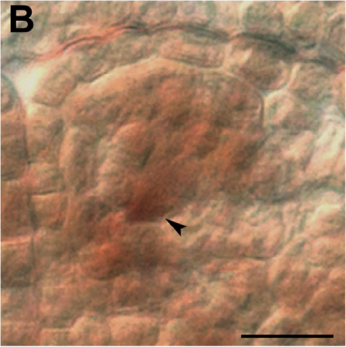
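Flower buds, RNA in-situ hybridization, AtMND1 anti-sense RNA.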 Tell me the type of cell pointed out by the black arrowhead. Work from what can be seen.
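The arrowhead points to a small darker-stained cell inside a compact mass of cells. So: sporogenous cells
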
